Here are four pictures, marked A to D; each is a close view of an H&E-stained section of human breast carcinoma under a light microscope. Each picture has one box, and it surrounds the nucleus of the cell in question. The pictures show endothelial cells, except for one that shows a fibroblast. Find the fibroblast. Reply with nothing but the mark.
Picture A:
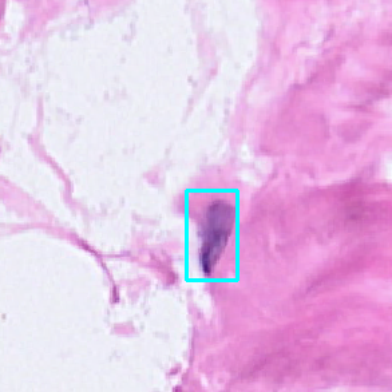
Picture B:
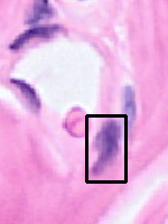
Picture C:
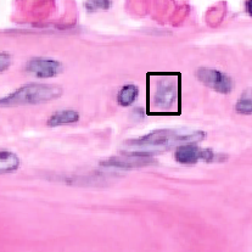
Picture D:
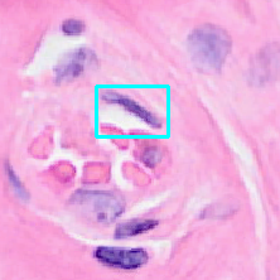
A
